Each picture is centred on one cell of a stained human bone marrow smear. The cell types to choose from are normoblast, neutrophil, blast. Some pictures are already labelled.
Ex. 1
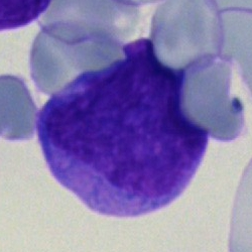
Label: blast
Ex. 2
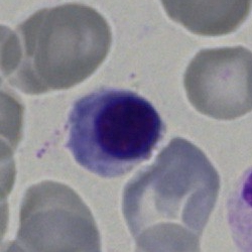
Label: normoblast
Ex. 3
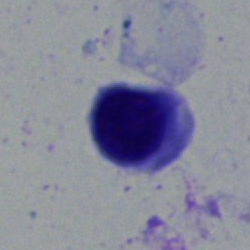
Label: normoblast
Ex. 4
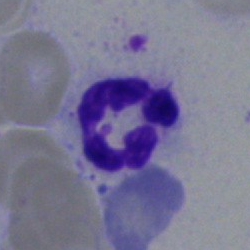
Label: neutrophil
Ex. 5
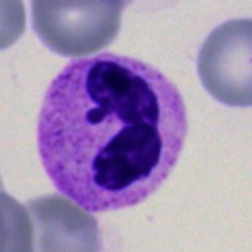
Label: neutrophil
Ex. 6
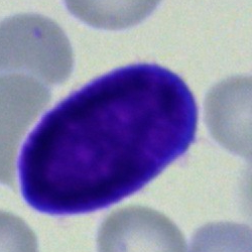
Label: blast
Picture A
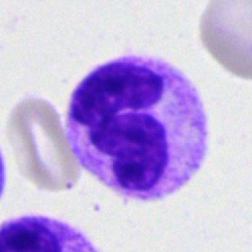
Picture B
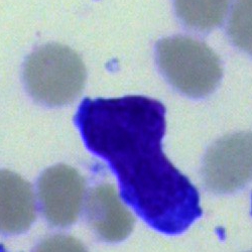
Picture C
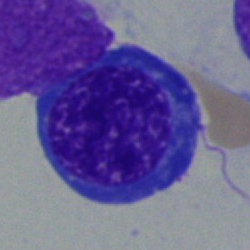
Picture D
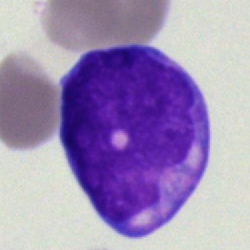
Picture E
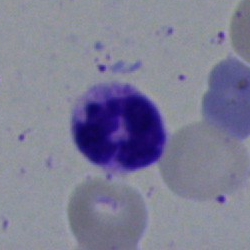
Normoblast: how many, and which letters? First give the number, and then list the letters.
1: C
